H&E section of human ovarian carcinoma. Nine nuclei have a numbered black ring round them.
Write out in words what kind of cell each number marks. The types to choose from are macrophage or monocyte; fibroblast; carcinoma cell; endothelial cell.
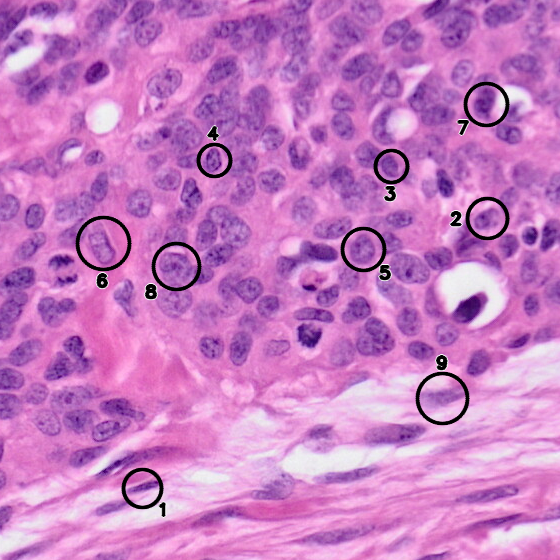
Cells 1 and 9 are fibroblasts. Cells 2 and 4 are macrophages or monocytes. Cells 3, 5, 7 and 8 are carcinoma cells. Cell 6 is an endothelial cell.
